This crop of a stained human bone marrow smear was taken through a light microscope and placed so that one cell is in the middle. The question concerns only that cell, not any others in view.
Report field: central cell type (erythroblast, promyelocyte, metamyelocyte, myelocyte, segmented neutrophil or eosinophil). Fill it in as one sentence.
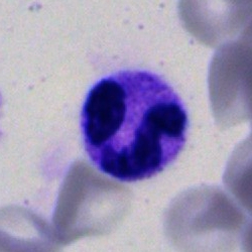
At the center of the crop sits a segmented neutrophil.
